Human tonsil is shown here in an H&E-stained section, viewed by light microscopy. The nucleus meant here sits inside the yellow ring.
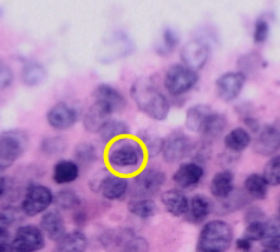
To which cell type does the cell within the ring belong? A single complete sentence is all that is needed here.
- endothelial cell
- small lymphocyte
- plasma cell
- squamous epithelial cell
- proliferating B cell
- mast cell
The identity of the cell within the ring: it is a proliferating B cell.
